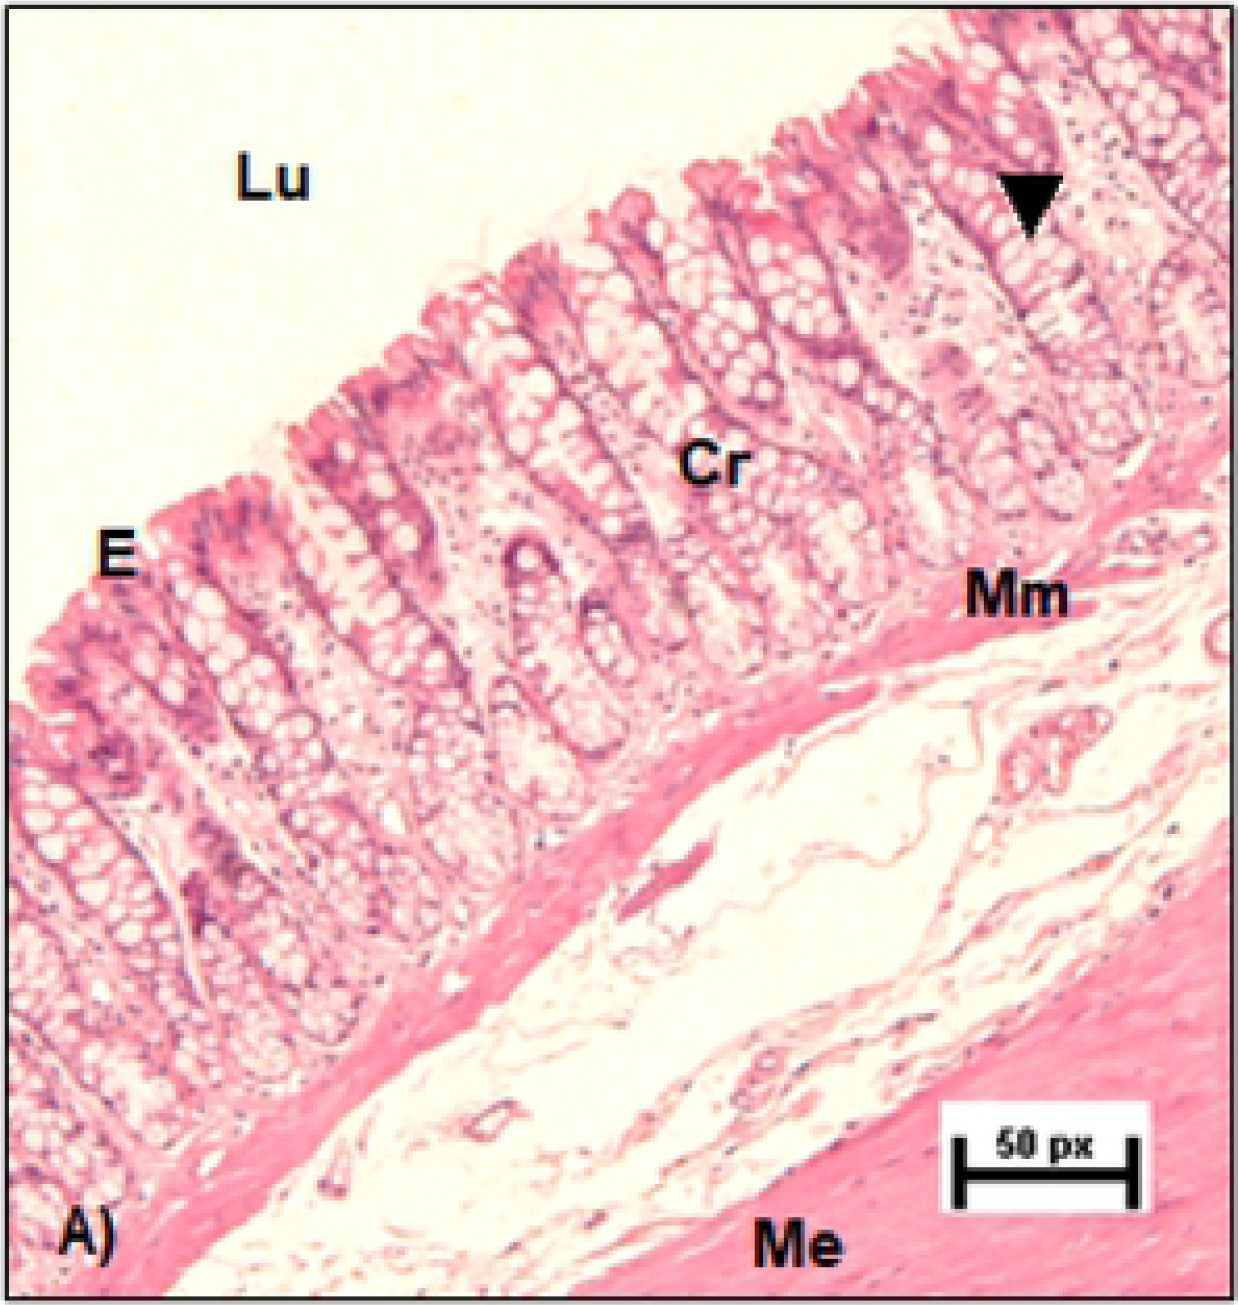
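This is colonic mucosa with long, straight crypts standing side by side from the surface down to a thin pink band of smooth muscle. The crypt walls are packed with rounded pale, clear-looking goblet cells, with small dark nuclei pushed toward the base of the lining cells. A continuous surface epithelium lines the lumen at the top. Between the crypts there is only a modest amount of lamina propria with scattered nuclei, and no dense collections of inflammatory cells. Below the muscular band lies loose, pale submucosa, and a thicker pink muscle layer runs along the lower corner.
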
